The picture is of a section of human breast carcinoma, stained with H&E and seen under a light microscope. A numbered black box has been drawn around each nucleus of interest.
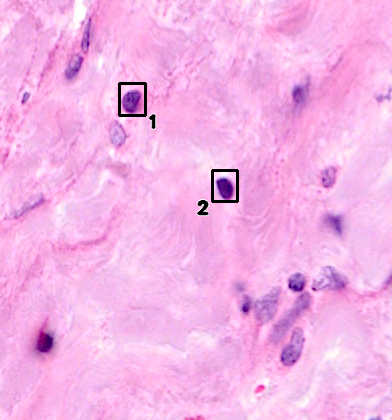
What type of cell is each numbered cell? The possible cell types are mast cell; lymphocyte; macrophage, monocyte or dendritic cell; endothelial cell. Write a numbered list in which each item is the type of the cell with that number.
1. mast cell
2. lymphocyte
